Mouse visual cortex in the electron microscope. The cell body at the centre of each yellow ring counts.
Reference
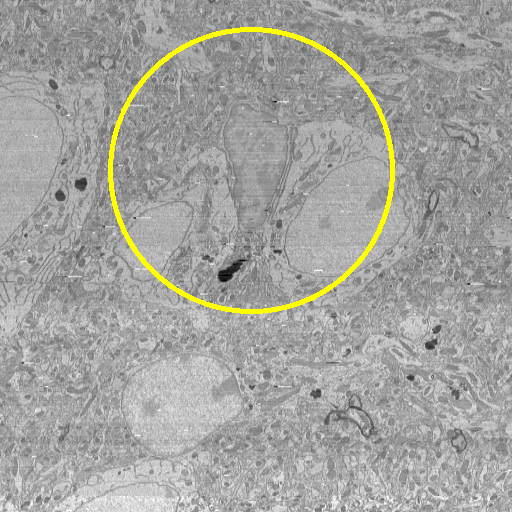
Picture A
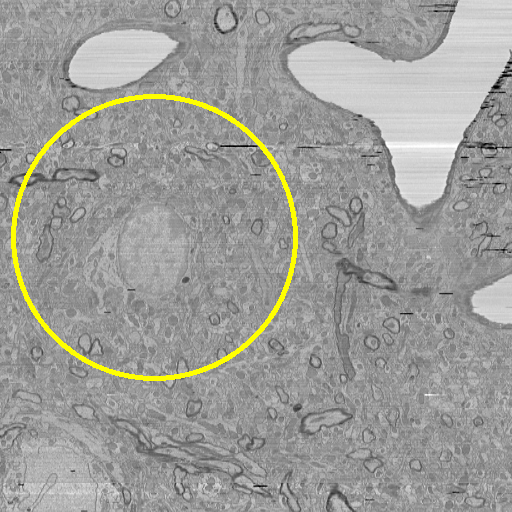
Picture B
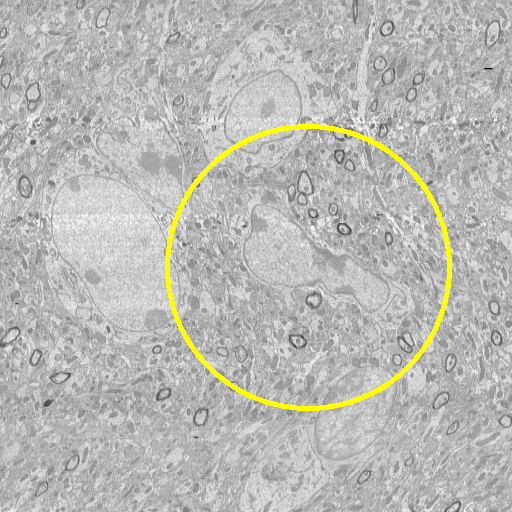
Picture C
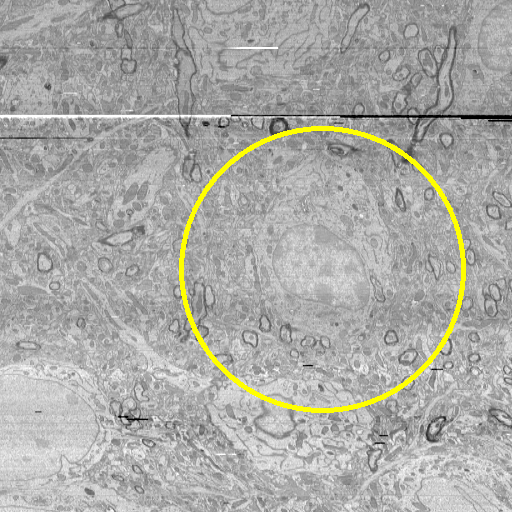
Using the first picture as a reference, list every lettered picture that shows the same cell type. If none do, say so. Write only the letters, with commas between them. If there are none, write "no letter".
no letter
